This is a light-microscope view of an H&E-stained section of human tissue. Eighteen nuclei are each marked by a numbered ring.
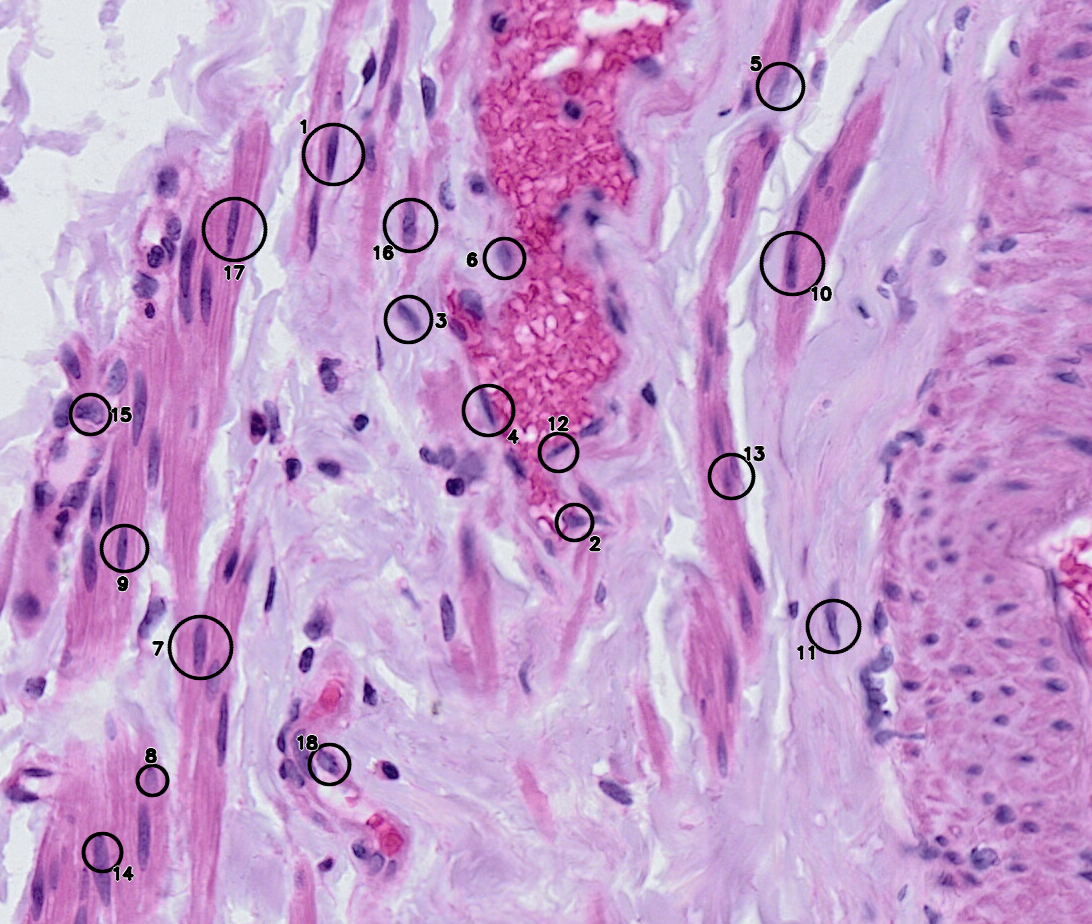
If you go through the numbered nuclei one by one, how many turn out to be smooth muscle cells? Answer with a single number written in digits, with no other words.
10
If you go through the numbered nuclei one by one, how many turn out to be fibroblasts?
2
